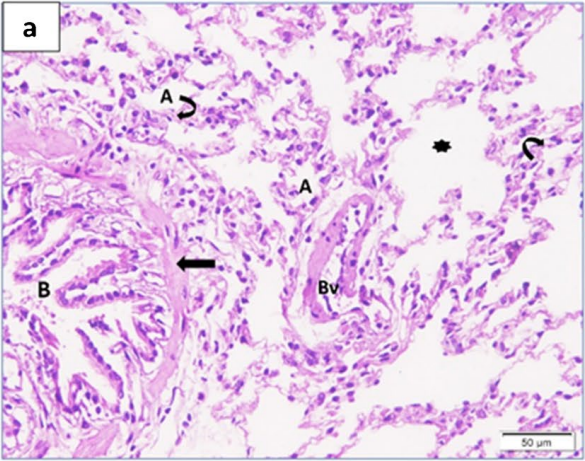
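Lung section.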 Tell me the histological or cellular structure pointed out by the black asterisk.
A: Alveolar sac.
